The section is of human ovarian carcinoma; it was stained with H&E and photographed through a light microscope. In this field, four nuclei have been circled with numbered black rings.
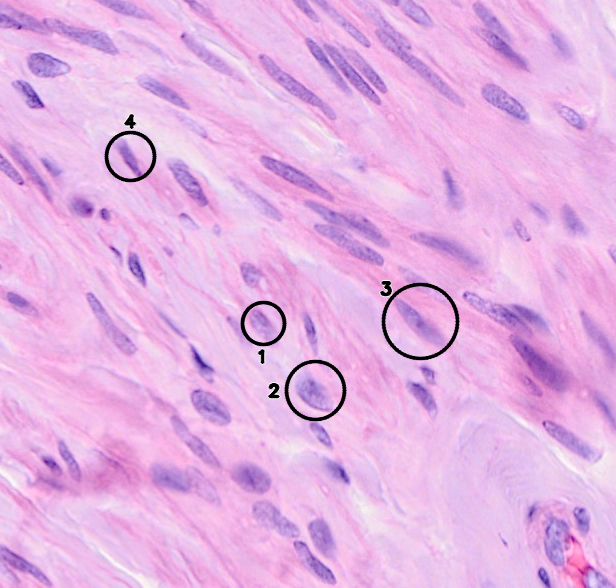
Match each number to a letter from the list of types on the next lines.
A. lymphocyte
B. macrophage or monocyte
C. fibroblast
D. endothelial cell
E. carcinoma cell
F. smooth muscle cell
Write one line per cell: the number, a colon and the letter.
1: F
2: C
3: F
4: F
